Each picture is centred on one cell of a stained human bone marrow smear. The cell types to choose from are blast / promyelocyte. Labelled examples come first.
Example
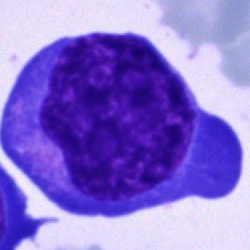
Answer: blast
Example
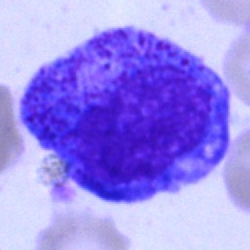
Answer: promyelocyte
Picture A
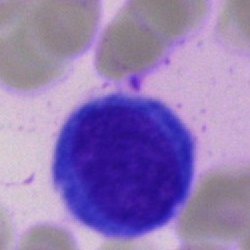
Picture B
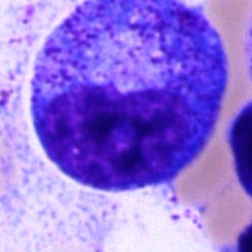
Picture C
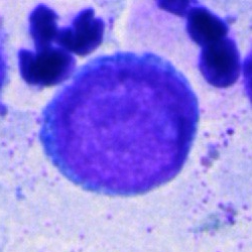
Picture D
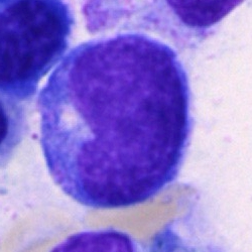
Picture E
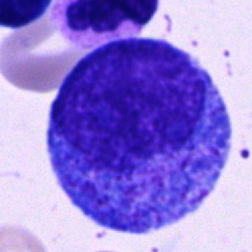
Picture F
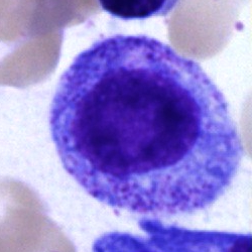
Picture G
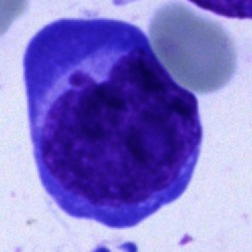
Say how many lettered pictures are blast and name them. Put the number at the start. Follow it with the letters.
Count: 3 (A, C, G)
